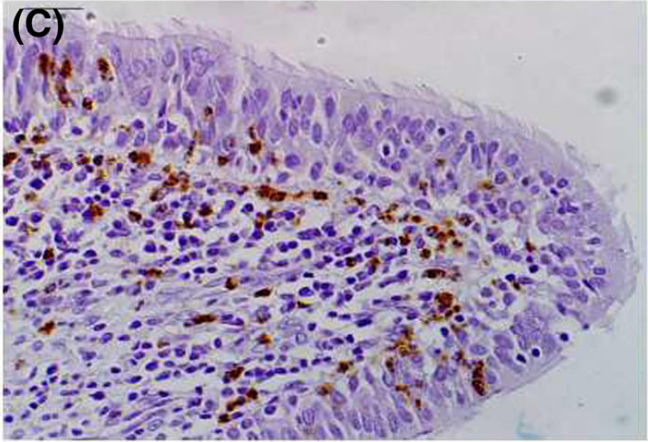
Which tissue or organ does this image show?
airway epithelium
